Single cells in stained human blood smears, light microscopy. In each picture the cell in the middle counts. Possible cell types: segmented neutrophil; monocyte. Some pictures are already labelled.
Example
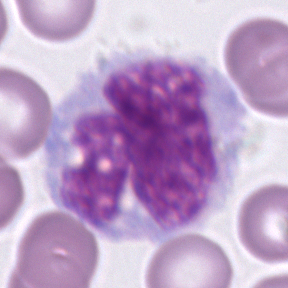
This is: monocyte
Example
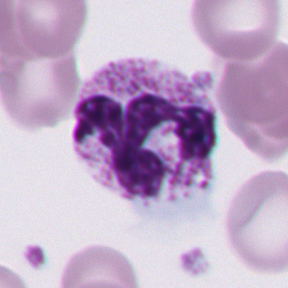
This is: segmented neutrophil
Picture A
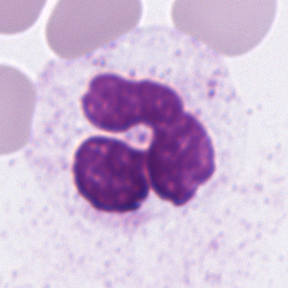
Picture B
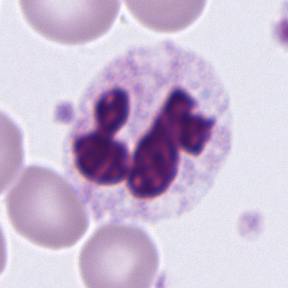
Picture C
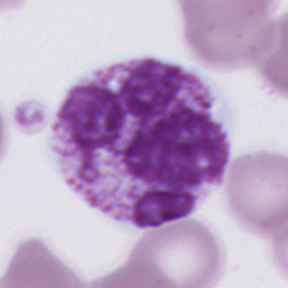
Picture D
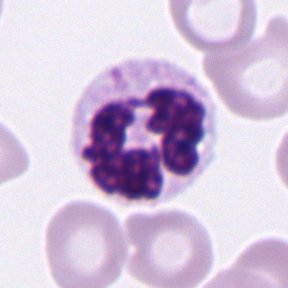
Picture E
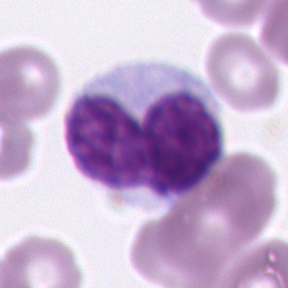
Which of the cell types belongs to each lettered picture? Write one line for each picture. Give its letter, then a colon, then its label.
A: segmented neutrophil
B: segmented neutrophil
C: segmented neutrophil
D: segmented neutrophil
E: monocyte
